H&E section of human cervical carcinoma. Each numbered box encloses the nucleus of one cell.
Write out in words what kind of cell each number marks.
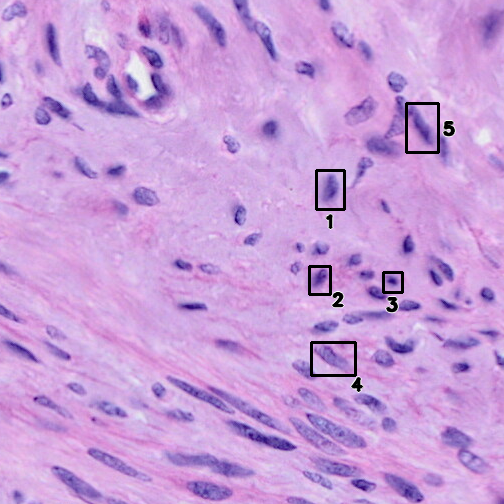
Cell 1 is a fibroblast, cell 2 is a smooth muscle cell, cell 3 is a fibroblast, cell 4 is a smooth muscle cell and cell 5 is a fibroblast.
